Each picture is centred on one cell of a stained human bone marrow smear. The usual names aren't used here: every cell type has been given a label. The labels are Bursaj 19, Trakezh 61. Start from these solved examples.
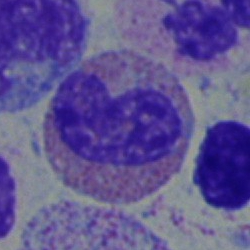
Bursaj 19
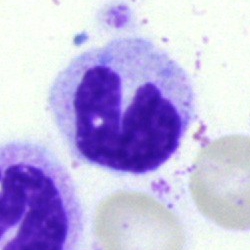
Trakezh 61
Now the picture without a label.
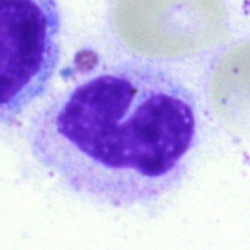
Trakezh 61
